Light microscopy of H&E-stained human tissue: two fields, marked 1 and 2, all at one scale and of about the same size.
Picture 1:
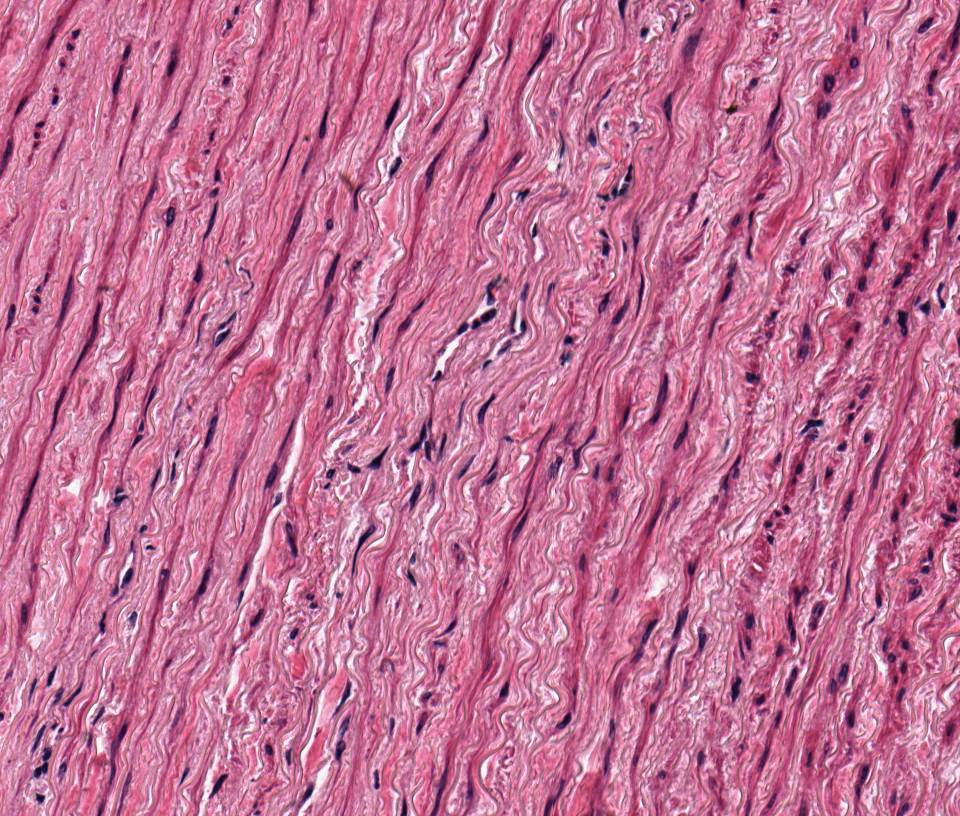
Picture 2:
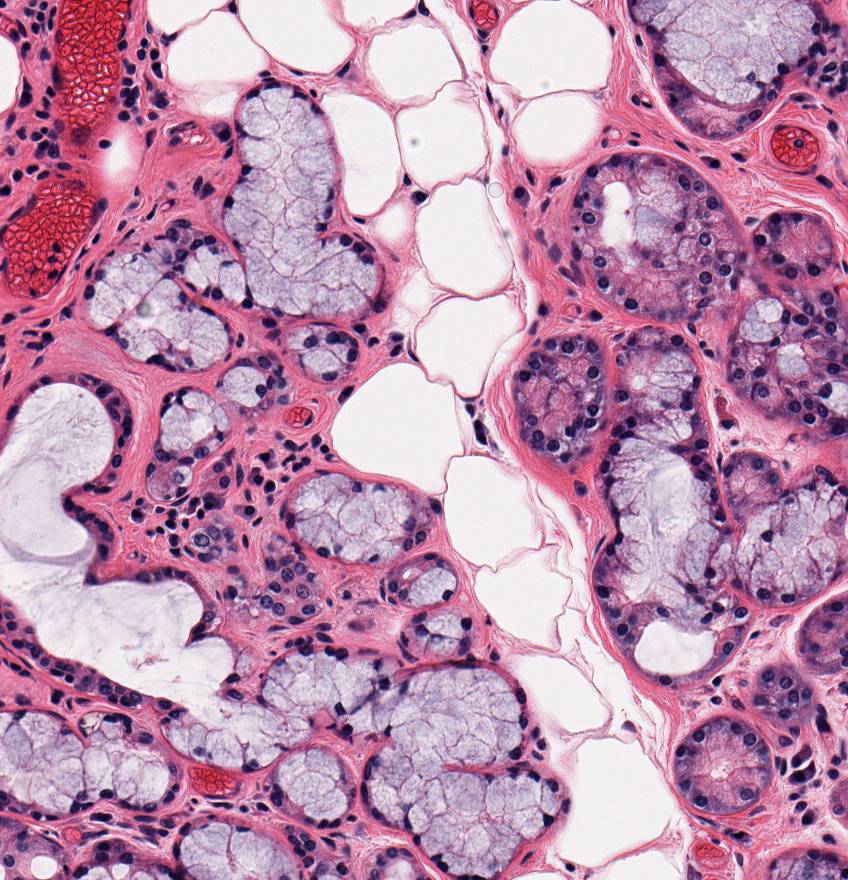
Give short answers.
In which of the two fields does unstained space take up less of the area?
1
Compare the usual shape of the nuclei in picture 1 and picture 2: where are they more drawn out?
1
